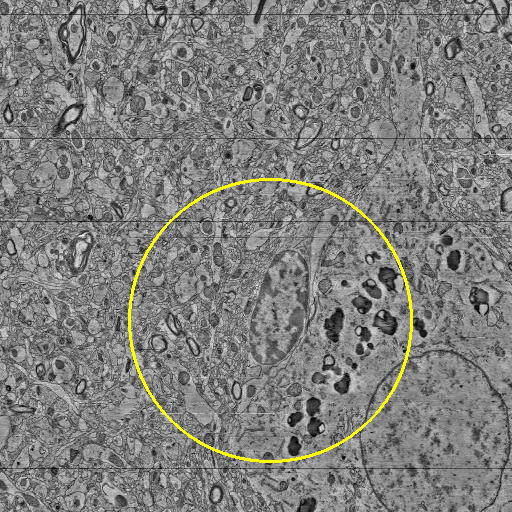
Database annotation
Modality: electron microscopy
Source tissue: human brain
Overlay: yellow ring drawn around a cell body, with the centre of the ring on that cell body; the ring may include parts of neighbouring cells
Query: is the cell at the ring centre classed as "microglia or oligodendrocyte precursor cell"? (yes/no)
yes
